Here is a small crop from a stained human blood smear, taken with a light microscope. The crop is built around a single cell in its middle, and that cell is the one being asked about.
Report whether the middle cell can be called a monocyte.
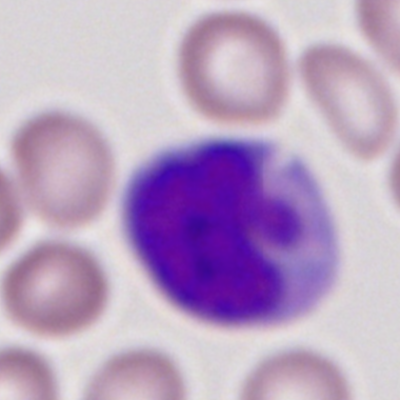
yes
